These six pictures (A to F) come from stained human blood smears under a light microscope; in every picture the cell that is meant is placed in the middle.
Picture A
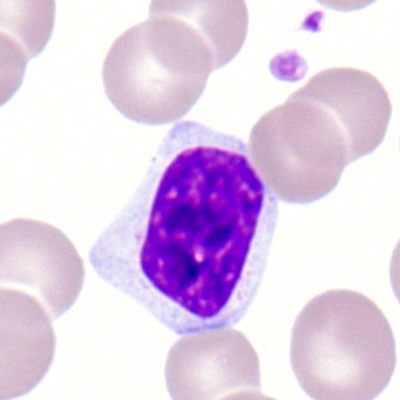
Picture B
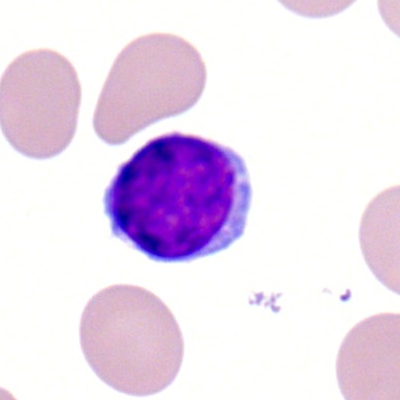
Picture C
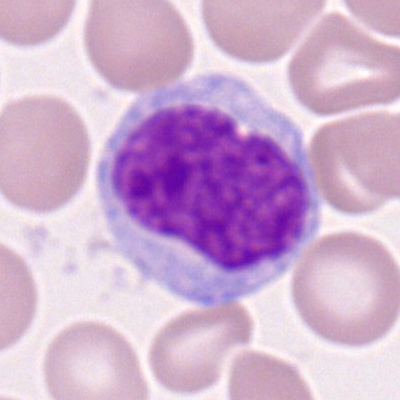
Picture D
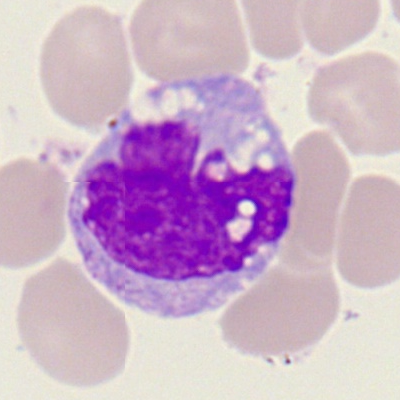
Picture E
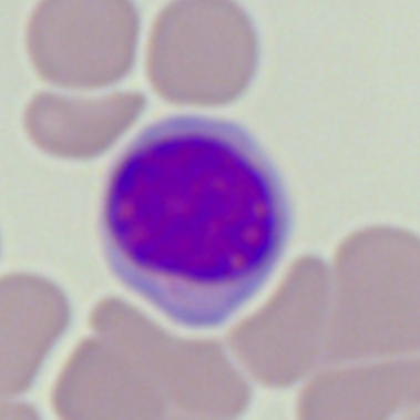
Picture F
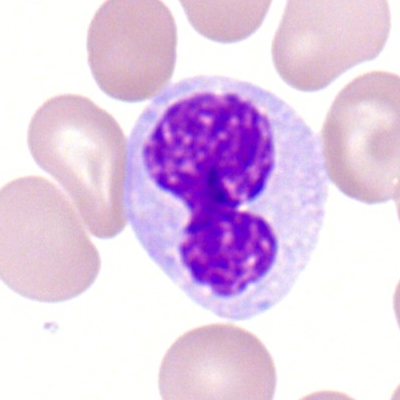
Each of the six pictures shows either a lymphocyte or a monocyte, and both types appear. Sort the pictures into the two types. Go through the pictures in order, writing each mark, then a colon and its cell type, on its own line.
A: lymphocyte
B: lymphocyte
C: monocyte
D: monocyte
E: lymphocyte
F: monocyte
